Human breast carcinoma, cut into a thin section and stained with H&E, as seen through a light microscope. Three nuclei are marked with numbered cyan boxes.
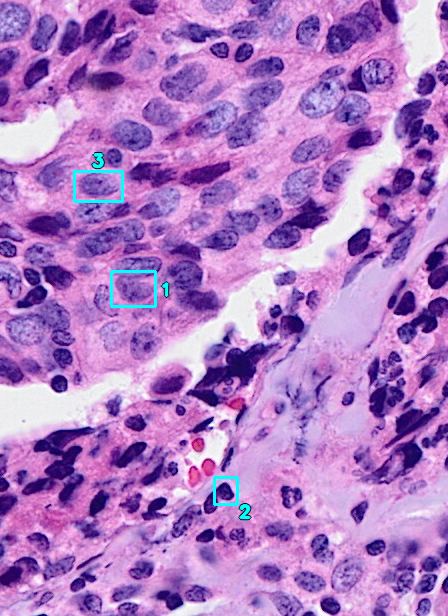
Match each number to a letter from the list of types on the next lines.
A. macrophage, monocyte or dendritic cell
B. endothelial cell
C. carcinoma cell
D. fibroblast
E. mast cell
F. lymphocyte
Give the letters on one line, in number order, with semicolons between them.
C; F; C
